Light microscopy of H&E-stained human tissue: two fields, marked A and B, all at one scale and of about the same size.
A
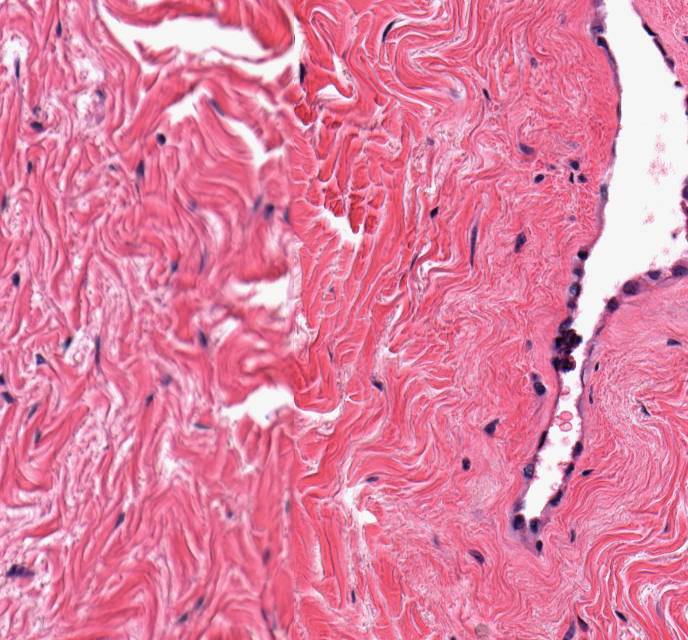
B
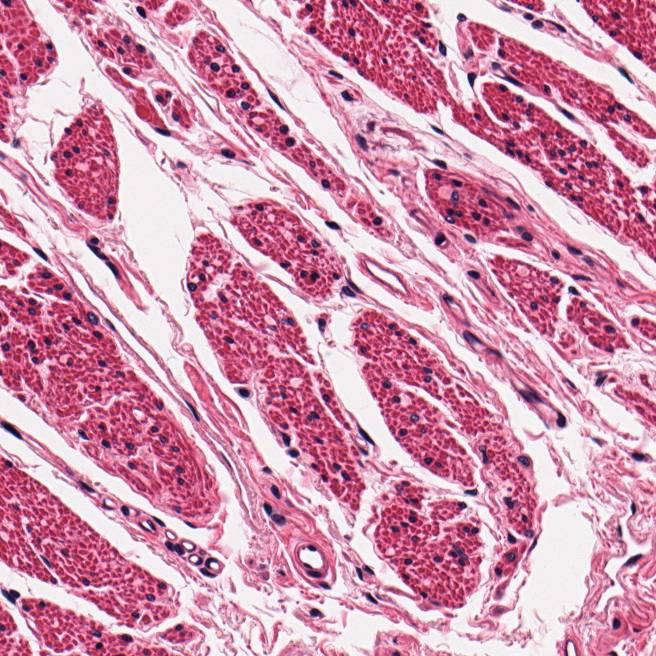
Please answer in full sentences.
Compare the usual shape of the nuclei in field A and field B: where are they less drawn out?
On the whole the nuclei of field B are rounder than those of field A.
